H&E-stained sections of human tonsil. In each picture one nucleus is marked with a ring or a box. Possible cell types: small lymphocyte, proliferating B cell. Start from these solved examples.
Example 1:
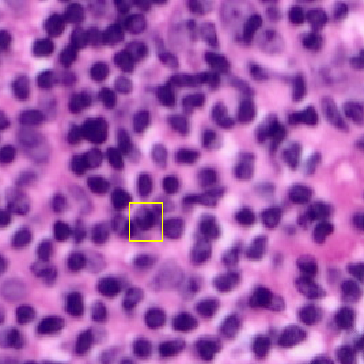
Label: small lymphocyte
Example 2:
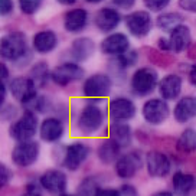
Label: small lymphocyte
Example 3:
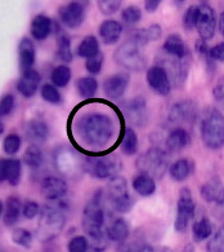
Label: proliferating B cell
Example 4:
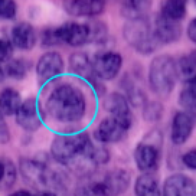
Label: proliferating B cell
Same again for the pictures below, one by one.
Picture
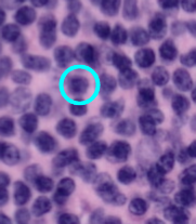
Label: small lymphocyte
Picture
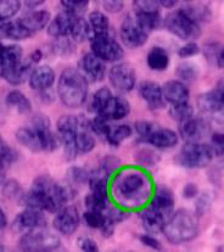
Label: proliferating B cell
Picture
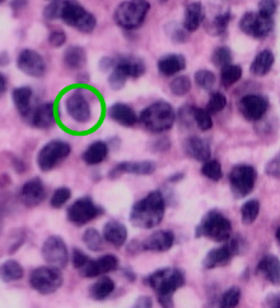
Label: proliferating B cell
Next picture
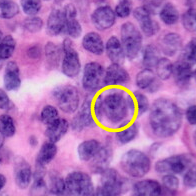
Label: proliferating B cell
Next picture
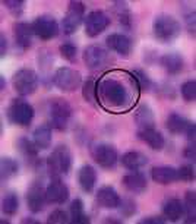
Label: small lymphocyte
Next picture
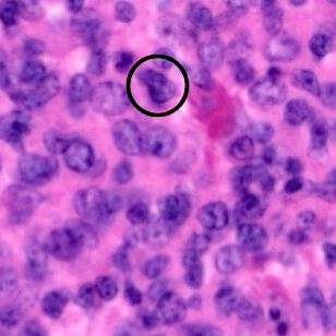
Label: proliferating B cell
